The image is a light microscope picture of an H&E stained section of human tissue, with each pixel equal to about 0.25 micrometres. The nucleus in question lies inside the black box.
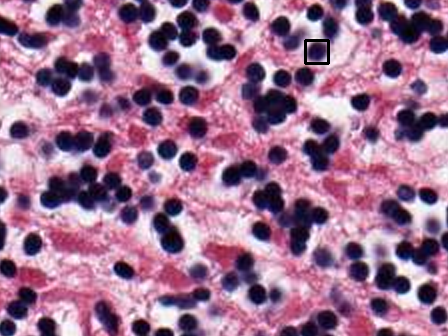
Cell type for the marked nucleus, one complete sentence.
In this picture it is a cerebellar granule cell whose nucleus is marked.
